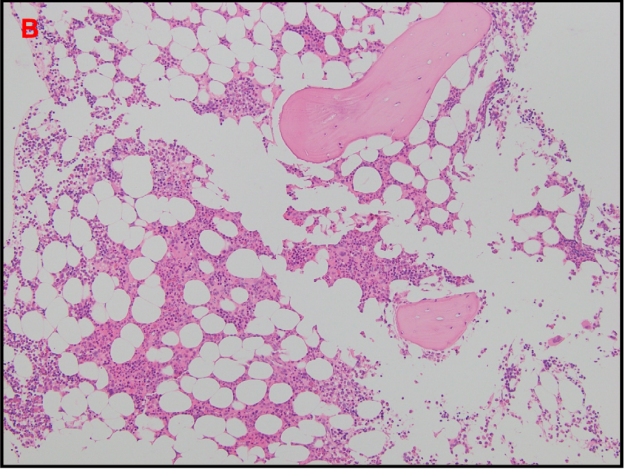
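Bone marrow trephine section with pink bony trabeculae surrounded by marrow made up largely of round, empty fat spaces. Haematopoietic cells with small dark purple nuclei lie in patches and strands between the fat spaces. The cellular areas are unevenly distributed, with denser patches on the left and sparse cellularity elsewhere. Overall the fat outweighs the haematopoietic tissue.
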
